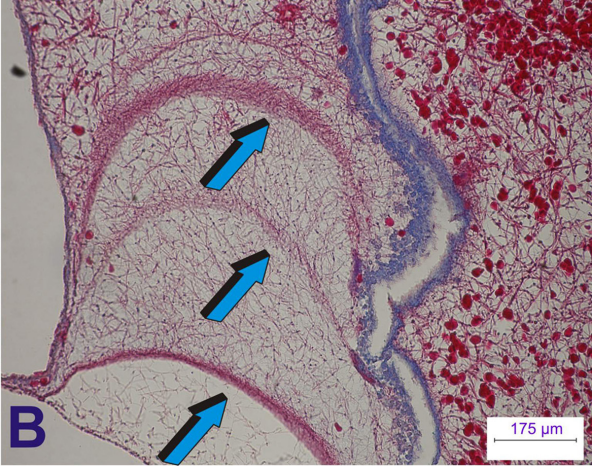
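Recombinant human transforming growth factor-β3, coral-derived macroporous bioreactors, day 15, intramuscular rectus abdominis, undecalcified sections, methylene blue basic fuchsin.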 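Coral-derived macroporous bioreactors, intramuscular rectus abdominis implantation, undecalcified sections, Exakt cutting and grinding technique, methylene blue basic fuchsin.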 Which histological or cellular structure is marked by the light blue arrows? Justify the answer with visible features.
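Expanding rings. Several concentric curved pink-red bands cross the pale meshwork of a macropore. The arrows point at these parallel arcing bands.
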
